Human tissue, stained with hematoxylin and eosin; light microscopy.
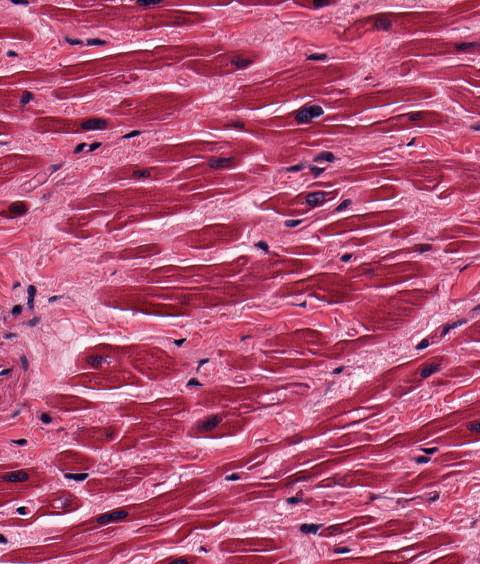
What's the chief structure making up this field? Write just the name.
myocardium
